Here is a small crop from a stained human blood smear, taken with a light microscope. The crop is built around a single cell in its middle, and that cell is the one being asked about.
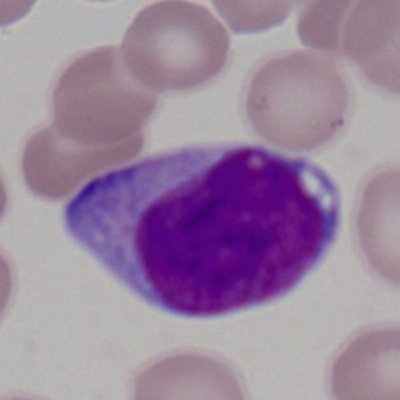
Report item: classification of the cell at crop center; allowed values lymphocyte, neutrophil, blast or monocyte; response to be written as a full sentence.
The center cell of this crop is a blast.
